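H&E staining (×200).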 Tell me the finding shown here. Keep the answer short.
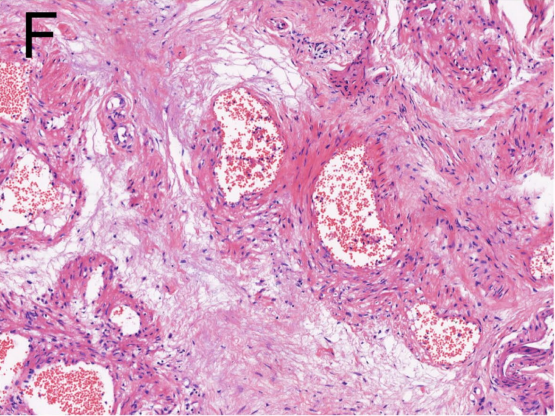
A: abnormal hyperplasia of blood vessels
